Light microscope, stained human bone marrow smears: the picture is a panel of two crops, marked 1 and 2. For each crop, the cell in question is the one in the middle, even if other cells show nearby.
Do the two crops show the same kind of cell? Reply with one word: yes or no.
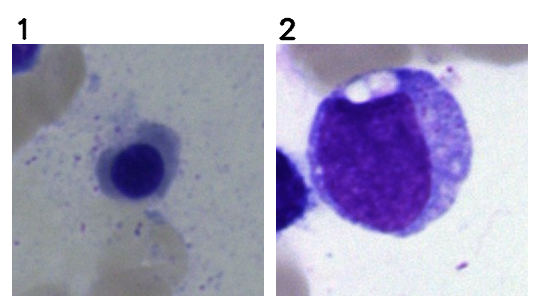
no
